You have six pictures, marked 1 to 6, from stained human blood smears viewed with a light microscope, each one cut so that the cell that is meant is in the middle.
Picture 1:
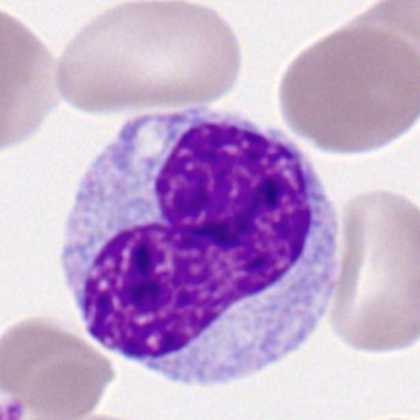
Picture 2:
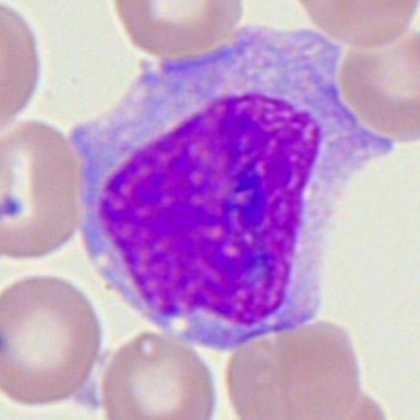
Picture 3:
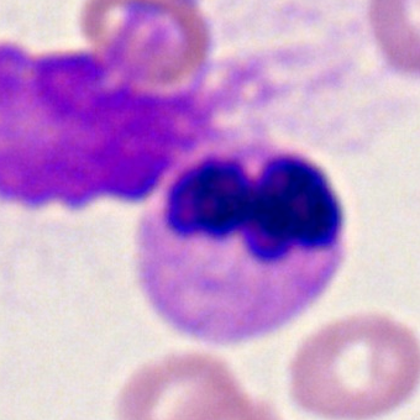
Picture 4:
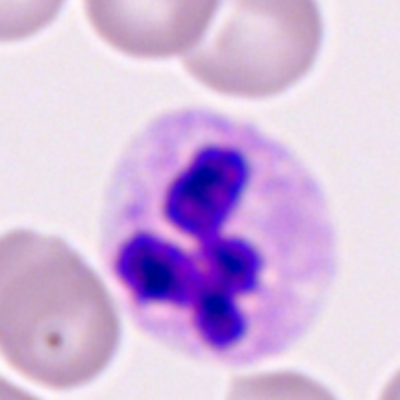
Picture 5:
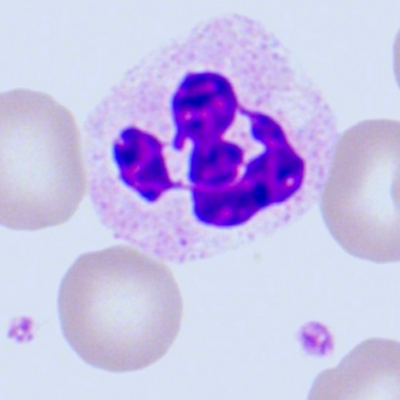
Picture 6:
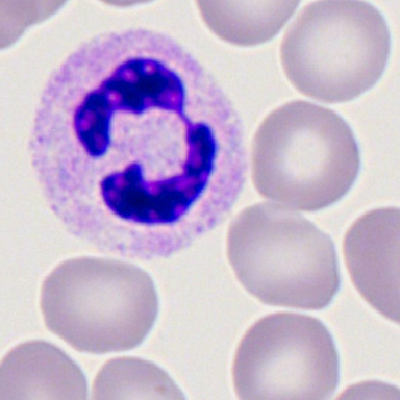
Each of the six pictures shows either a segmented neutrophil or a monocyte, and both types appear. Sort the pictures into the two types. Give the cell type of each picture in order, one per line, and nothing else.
monocyte
monocyte
segmented neutrophil
segmented neutrophil
segmented neutrophil
segmented neutrophil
